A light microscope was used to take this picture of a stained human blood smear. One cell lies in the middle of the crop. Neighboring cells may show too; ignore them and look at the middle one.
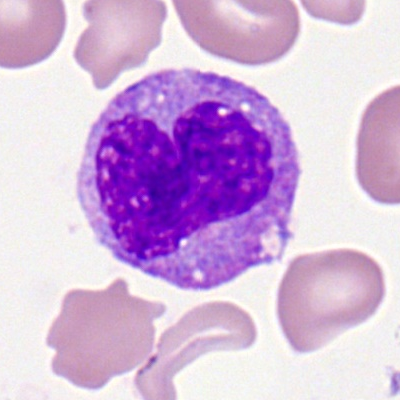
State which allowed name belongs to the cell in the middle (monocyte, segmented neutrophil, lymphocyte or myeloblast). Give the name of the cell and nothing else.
monocyte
